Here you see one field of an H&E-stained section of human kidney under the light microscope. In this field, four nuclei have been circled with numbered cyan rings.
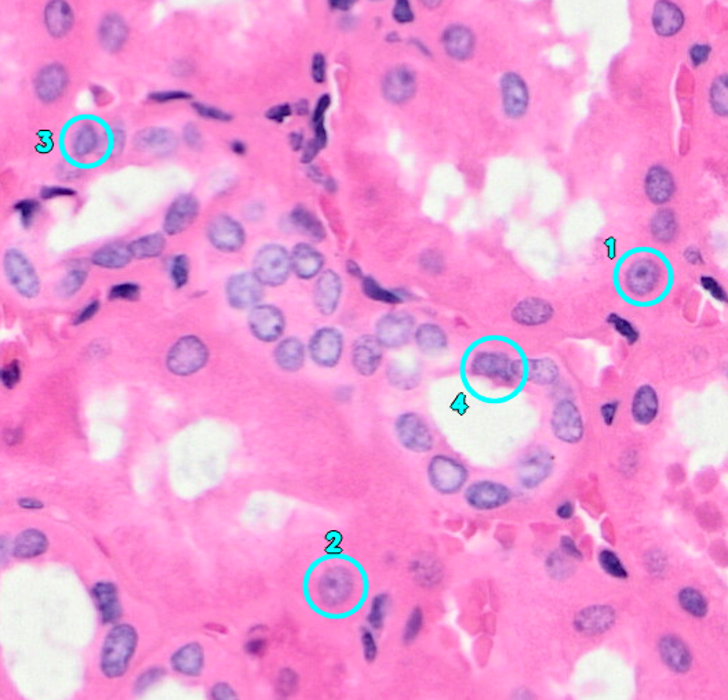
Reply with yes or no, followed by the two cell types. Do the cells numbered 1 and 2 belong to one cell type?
Yes, both are proximal tubule cells.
